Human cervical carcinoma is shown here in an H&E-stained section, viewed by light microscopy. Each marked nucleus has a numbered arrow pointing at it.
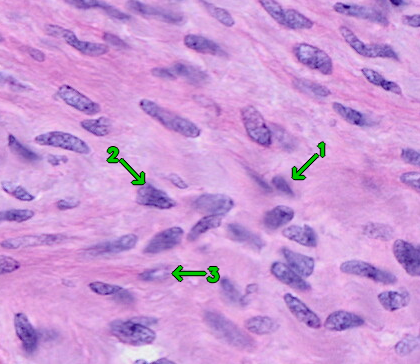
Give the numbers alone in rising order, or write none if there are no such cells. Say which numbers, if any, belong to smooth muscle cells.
3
